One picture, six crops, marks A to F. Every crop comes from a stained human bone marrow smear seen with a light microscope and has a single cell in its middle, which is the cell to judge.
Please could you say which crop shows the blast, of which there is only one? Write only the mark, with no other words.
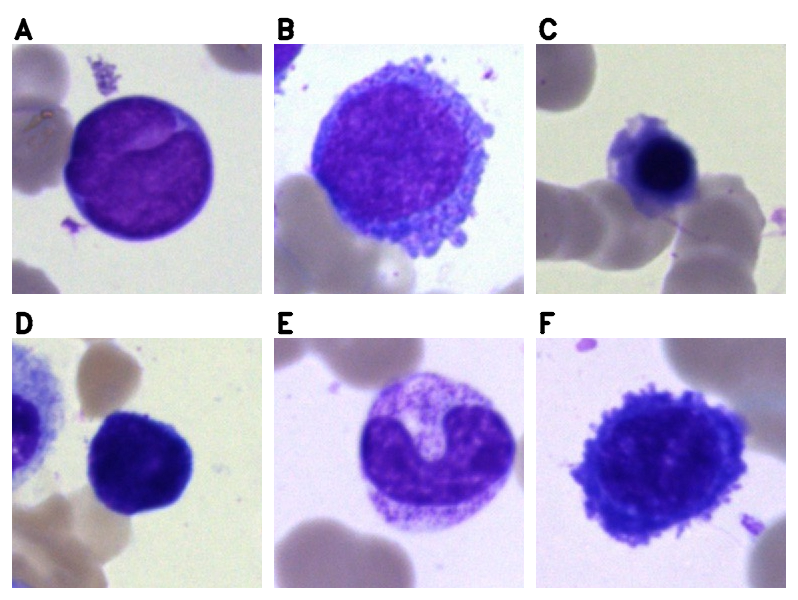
A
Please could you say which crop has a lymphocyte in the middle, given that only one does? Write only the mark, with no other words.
D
